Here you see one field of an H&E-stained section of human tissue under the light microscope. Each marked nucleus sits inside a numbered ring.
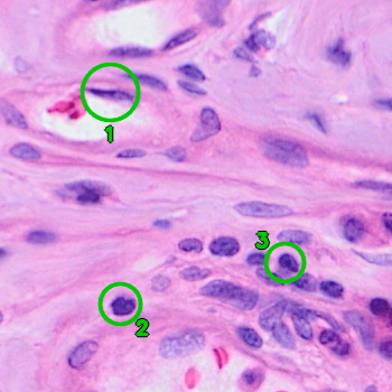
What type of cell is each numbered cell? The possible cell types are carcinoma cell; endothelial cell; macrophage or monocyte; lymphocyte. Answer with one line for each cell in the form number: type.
1: endothelial cell
2: lymphocyte
3: lymphocyte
